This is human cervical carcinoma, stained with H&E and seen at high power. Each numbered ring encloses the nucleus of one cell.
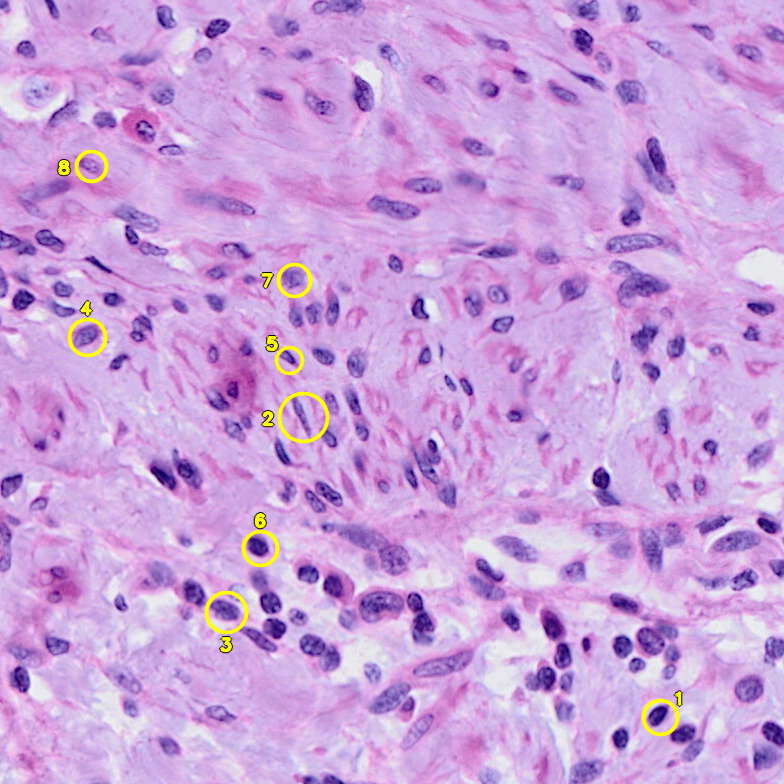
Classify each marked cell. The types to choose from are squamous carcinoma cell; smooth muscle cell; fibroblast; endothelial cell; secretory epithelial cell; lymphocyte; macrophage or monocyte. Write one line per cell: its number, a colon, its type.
1: lymphocyte
2: smooth muscle cell
3: lymphocyte
4: smooth muscle cell
5: smooth muscle cell
6: lymphocyte
7: smooth muscle cell
8: smooth muscle cell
